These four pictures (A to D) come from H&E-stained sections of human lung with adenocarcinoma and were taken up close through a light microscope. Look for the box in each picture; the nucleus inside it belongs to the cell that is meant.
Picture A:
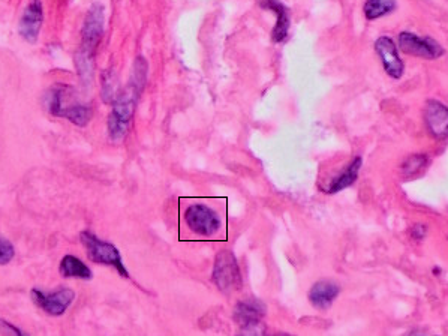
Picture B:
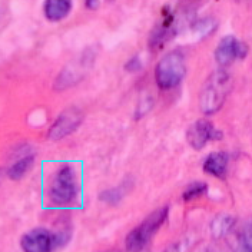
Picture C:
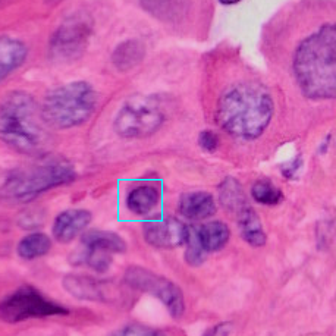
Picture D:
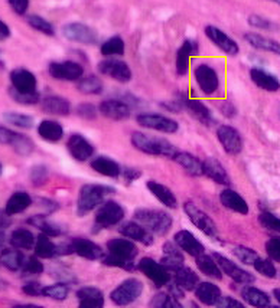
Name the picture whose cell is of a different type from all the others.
A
